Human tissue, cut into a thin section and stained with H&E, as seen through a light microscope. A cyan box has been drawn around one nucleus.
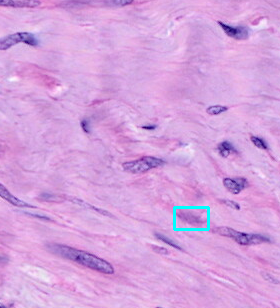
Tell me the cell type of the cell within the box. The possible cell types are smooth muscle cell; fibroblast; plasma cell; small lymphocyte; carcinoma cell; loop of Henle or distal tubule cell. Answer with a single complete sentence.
The identity of the cell within the box is that of a smooth muscle cell.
